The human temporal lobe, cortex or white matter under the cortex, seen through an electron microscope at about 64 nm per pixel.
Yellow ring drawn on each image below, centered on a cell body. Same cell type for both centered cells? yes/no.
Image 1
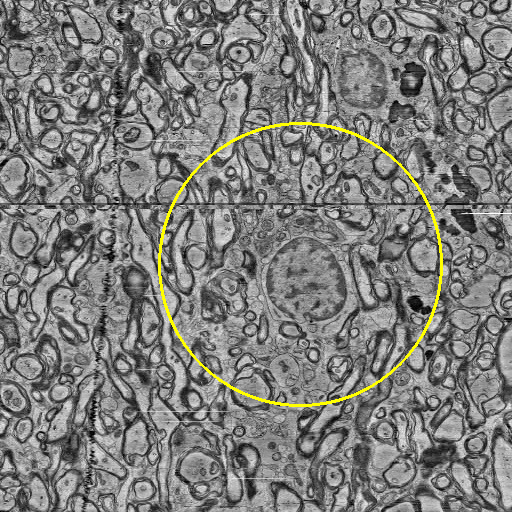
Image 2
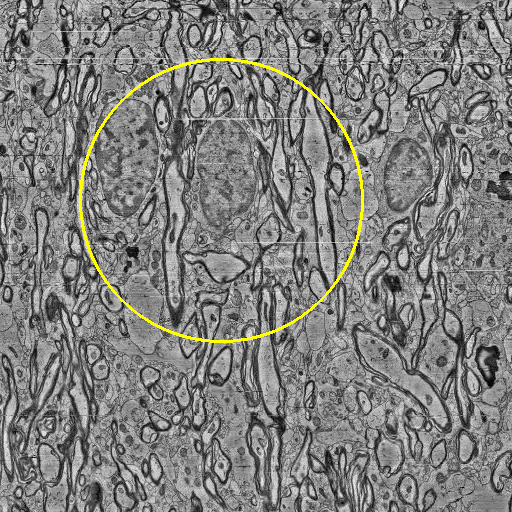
no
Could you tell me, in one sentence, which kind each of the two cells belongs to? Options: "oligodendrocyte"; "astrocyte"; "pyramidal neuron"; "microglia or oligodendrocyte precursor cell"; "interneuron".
At the centre of the first ring sits a microglial cell or oligodendrocyte precursor cell, and at the centre of the second sits an oligodendrocyte.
